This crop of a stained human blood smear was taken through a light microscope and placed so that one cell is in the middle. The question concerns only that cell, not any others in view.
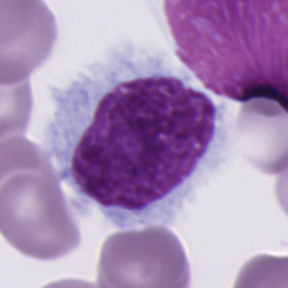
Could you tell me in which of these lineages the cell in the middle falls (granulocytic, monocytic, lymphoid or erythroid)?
lymphoid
